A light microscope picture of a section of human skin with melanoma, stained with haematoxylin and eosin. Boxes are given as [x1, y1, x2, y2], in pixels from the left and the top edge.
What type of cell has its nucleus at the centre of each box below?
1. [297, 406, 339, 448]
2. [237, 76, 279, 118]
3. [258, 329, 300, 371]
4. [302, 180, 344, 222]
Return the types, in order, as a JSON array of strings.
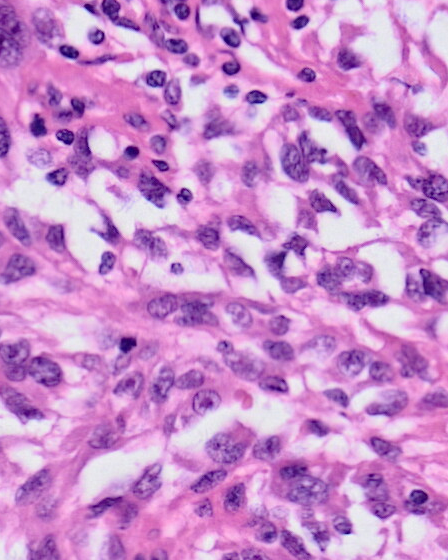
["macrophage or monocyte", "lymphocyte", "melanoma cell", "melanoma cell"]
